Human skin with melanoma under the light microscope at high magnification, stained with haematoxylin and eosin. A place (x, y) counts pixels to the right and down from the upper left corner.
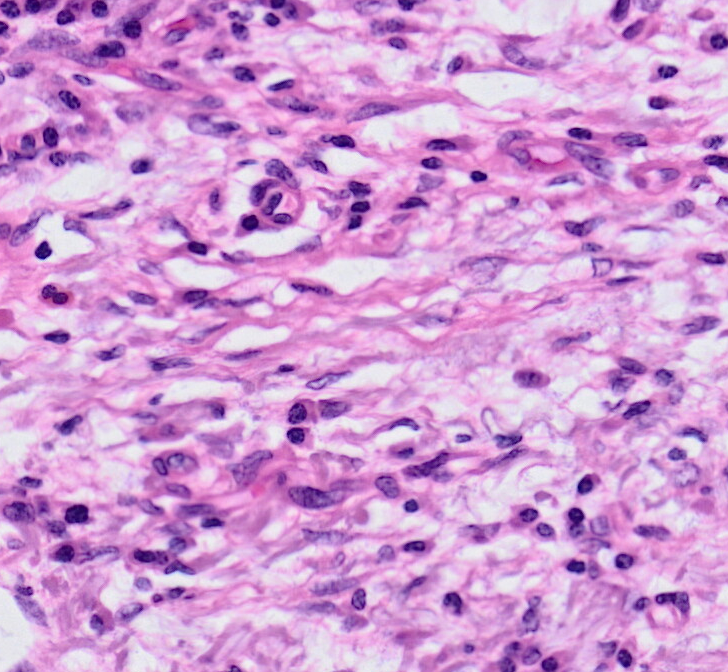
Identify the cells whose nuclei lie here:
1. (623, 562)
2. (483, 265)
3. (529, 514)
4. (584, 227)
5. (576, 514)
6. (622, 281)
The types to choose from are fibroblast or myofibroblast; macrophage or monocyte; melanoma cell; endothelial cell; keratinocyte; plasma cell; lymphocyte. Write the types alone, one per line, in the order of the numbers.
plasma cell
fibroblast or myofibroblast
plasma cell
macrophage or monocyte
plasma cell
fibroblast or myofibroblast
